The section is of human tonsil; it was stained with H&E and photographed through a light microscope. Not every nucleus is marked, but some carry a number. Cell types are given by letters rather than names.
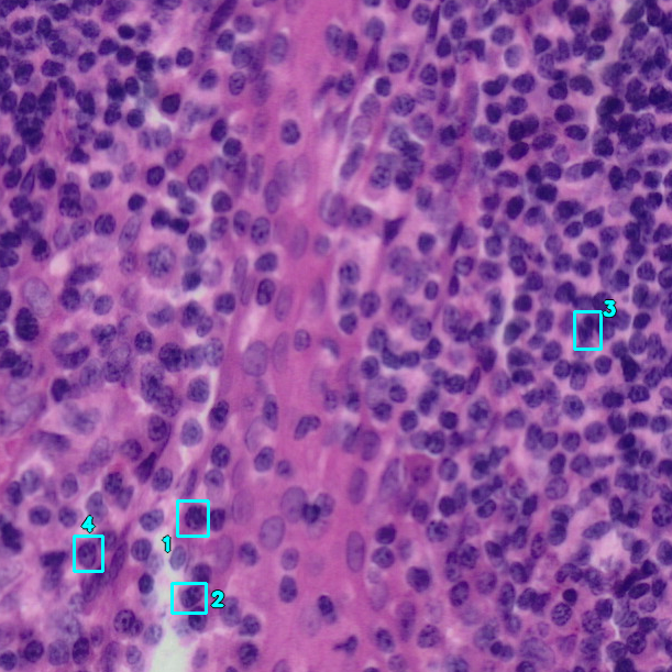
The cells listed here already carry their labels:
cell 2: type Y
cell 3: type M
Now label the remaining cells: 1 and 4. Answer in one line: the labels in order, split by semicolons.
type Y; type Y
